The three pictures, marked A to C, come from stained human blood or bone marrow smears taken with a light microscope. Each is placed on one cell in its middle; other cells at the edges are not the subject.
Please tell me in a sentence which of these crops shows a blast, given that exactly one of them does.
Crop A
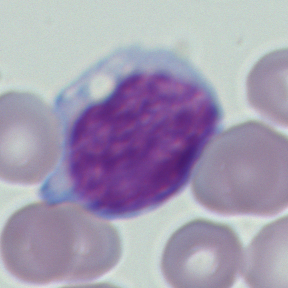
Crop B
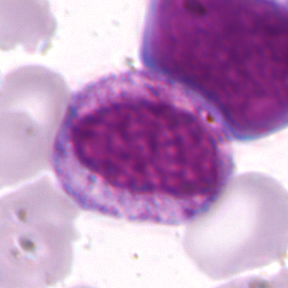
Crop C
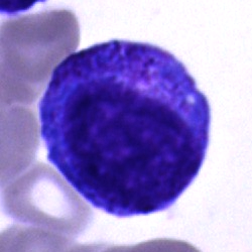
It is the cell in crop A that is a blast.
